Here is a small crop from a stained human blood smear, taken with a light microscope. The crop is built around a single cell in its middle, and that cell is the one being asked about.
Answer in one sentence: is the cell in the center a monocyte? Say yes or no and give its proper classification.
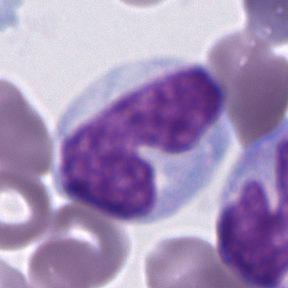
Yes, the middle of the crop is occupied by a monocyte.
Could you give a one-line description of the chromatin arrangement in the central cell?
What stands out is fine chromatin lacking any coarse clumps.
